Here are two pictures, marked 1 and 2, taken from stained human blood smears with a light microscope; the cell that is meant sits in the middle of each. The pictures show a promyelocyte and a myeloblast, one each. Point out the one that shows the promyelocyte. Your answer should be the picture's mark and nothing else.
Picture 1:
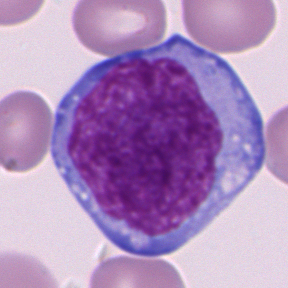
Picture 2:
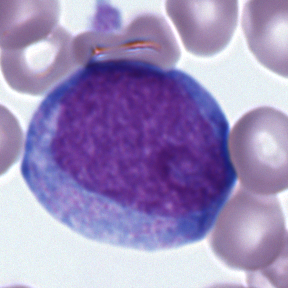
2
